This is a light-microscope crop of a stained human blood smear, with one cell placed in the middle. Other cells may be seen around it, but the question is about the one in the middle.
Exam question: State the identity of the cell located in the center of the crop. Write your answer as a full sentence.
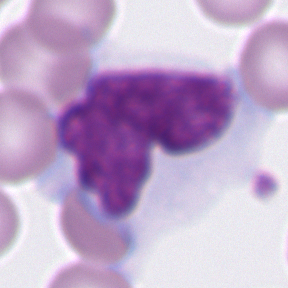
This crop is built around a monocyte at its centre.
